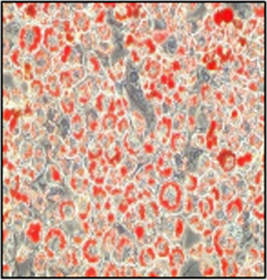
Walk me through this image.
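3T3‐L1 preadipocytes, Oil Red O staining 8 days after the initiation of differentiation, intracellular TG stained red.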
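This is a dense culture of cells in which most cells have become rounded and are packed with droplets that stain bright red. The red droplets fill much of the cytoplasm of each rounded cell, so that many cells look like red rings or solid red bodies with pale outlines. Between the rounded cells, a few flattened, greyish cells without red staining can be made out. The rounded, red-filled cells cover nearly the whole field and lie side by side with little space between them.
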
